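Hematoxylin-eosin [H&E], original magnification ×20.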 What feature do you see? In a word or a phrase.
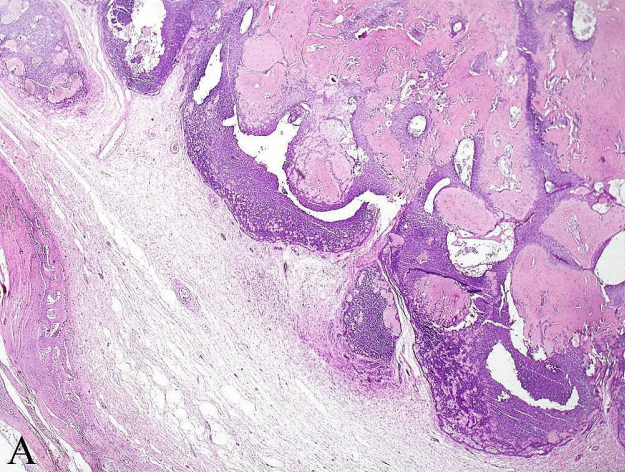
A: Abundant dentinoid matrix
